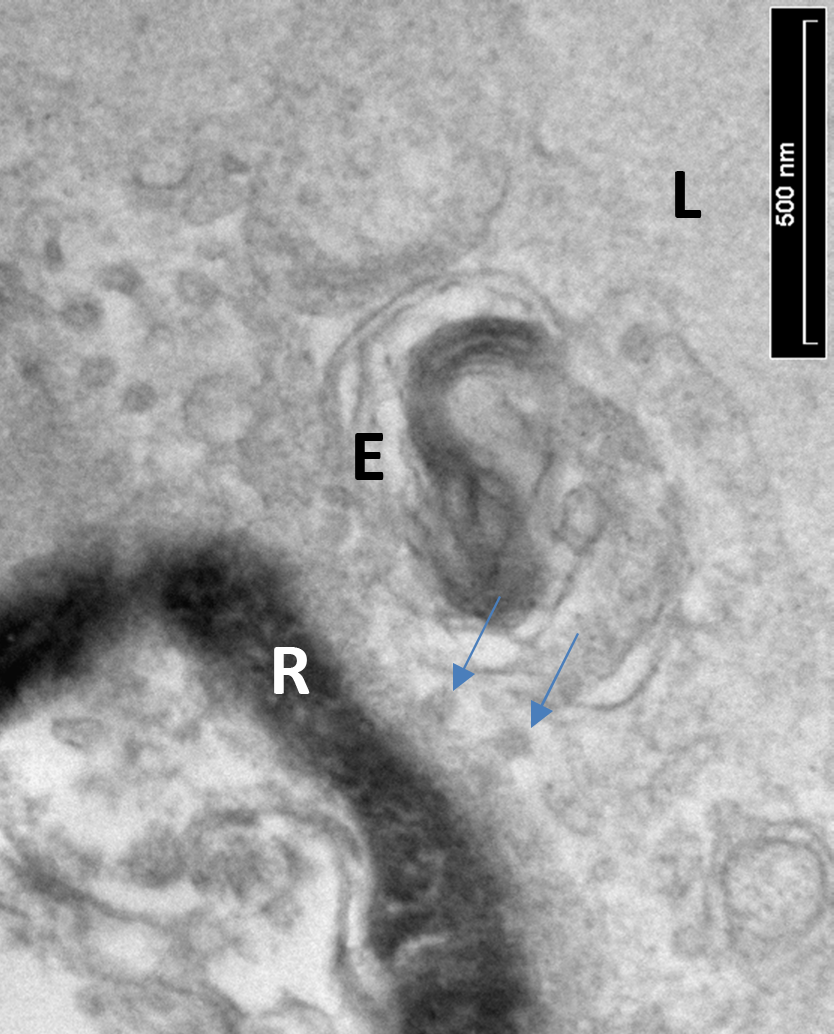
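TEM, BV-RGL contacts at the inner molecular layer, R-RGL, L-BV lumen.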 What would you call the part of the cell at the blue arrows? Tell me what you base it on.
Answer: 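Small round profiles lie in the cytoplasm between the lumen side and the dark process labelled R. The arrowed profiles are close to the side of the cell facing the dark process. That points to this answer: endothelial vesicles.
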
